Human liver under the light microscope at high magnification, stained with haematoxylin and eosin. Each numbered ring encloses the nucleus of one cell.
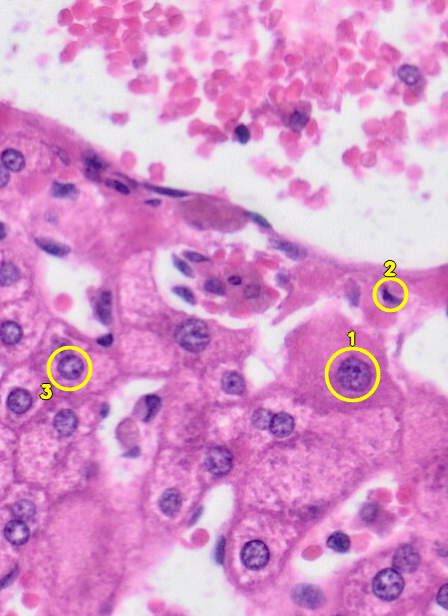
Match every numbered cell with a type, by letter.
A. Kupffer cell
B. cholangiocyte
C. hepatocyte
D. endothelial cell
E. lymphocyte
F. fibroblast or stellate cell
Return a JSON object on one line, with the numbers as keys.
{"1": "C", "2": "F", "3": "C"}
